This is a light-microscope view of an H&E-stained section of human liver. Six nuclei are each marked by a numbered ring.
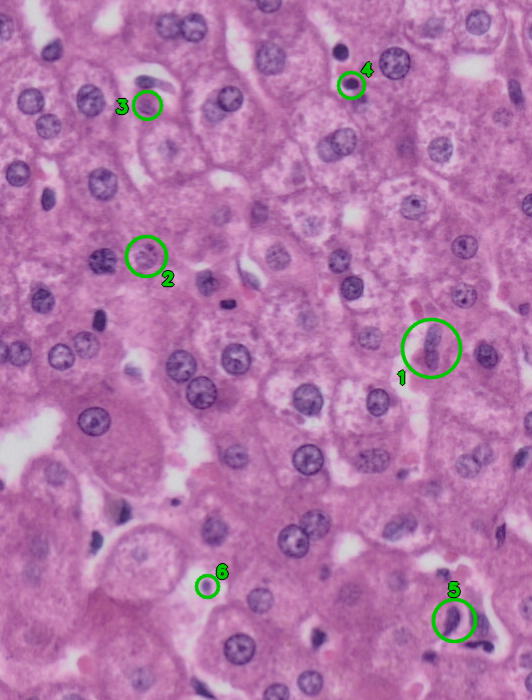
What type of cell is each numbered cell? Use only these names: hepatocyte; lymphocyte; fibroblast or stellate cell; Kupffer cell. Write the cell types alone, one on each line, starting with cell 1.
Kupffer cell
hepatocyte
Kupffer cell
lymphocyte
fibroblast or stellate cell
lymphocyte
